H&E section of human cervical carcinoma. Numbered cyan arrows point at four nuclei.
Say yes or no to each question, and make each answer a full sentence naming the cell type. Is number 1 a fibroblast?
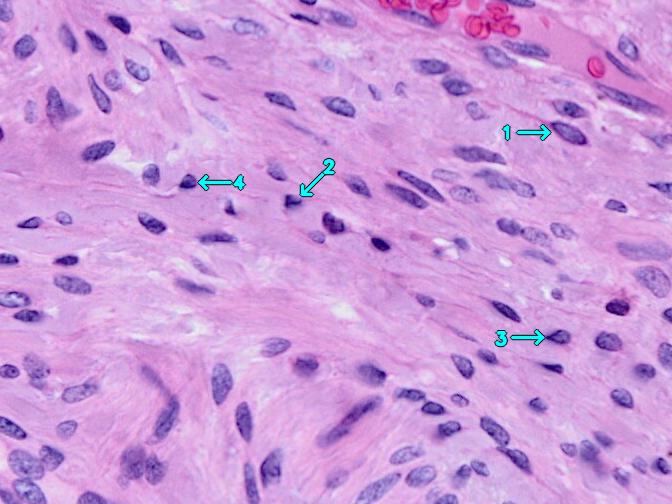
No, it is a smooth muscle cell, not a fibroblast, that number 1 marks.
